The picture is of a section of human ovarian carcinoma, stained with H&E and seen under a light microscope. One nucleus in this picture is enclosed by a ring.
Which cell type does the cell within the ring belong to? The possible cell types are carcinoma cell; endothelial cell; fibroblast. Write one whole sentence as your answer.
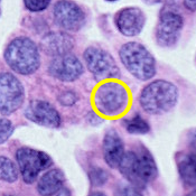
Labelled by cell type, the cell within the ring is a carcinoma cell.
